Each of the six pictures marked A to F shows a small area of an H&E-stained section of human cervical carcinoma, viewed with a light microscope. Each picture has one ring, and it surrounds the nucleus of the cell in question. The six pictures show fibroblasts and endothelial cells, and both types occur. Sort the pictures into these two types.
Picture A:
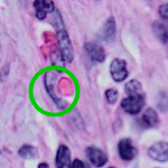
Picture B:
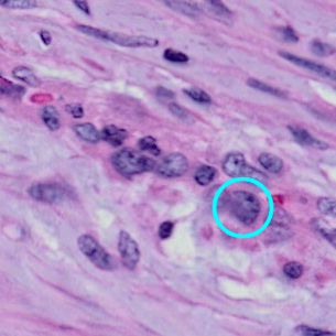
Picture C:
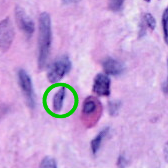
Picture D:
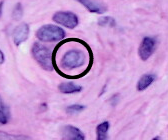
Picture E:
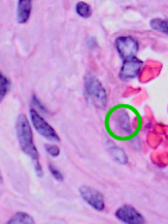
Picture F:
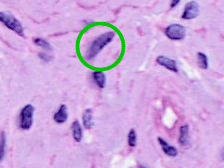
A: endothelial cell
B: endothelial cell
C: fibroblast
D: endothelial cell
E: endothelial cell
F: fibroblast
